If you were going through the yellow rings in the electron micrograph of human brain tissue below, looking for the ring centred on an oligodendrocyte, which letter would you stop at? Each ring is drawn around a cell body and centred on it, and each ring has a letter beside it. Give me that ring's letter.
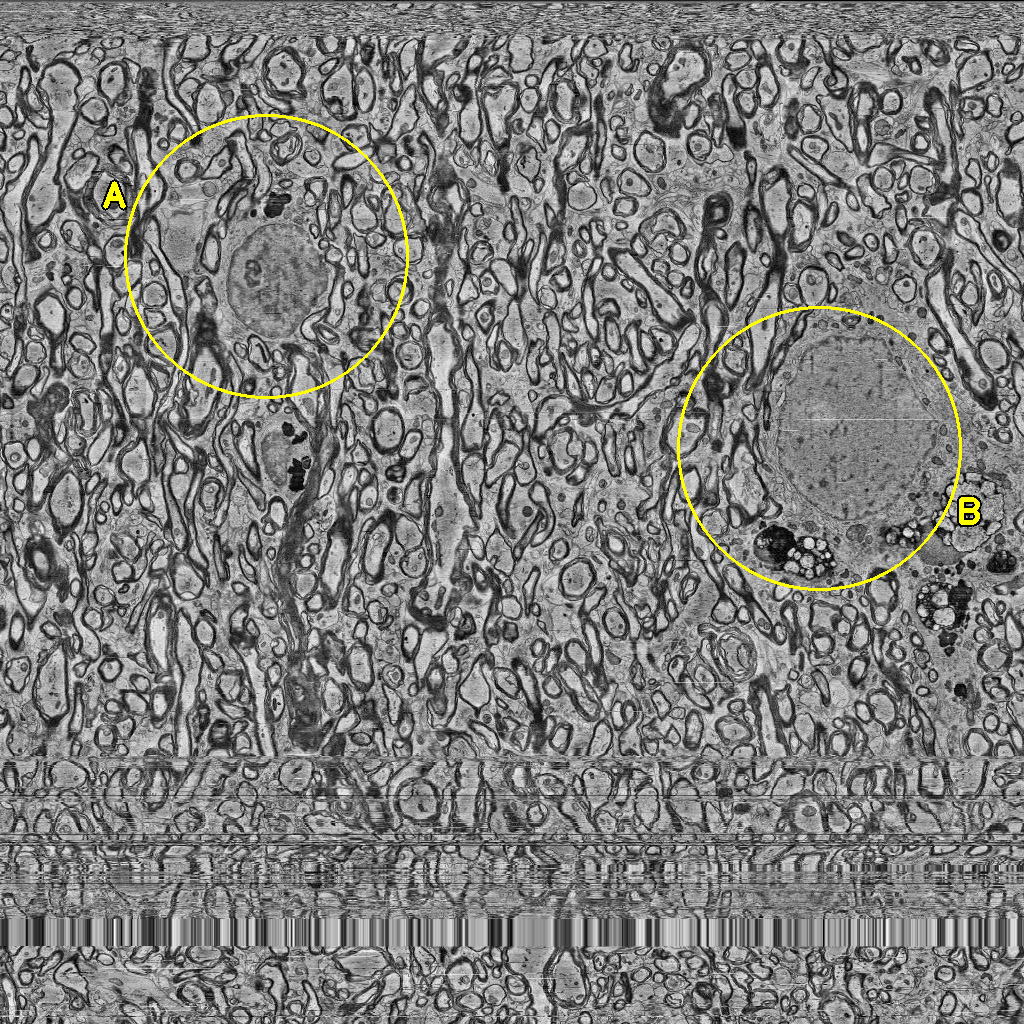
A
